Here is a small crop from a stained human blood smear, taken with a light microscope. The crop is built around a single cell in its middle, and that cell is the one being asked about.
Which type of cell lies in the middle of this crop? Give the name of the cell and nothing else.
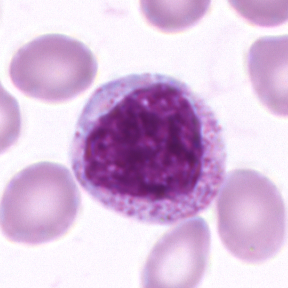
myelocyte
